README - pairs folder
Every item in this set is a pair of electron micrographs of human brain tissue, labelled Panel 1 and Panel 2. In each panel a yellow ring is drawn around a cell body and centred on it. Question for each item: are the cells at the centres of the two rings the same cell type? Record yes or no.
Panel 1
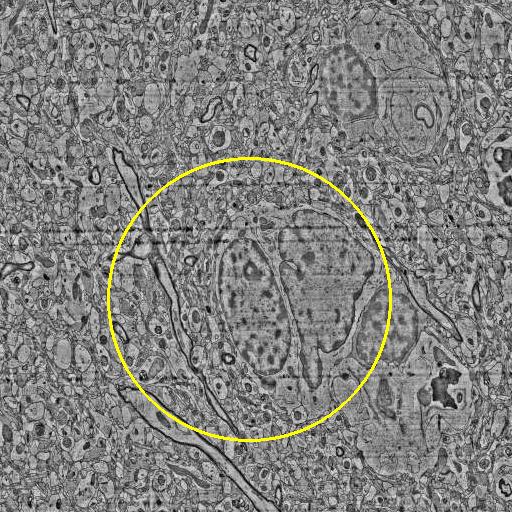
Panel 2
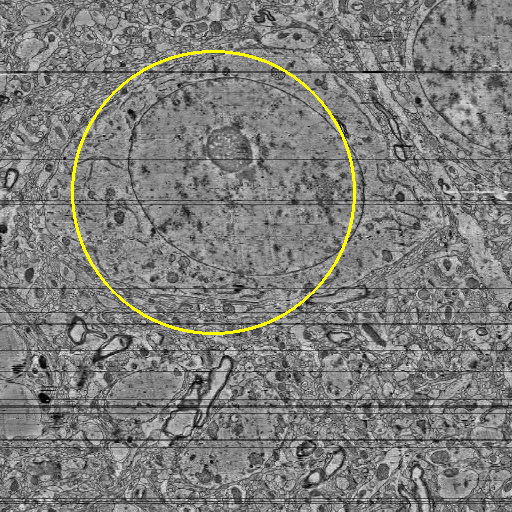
no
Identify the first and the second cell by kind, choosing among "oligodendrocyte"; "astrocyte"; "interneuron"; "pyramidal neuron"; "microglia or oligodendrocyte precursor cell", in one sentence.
The one in the first picture is an astrocyte, while the one in the second is a pyramidal neuron.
